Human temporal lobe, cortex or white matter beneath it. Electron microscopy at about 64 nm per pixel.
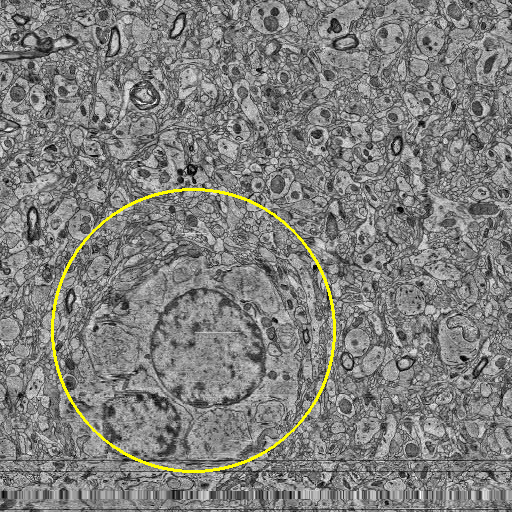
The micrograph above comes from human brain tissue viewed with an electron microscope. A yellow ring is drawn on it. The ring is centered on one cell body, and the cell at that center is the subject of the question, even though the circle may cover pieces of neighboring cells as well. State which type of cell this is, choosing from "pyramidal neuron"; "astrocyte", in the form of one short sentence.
The cell the ring is centered on is an astrocyte.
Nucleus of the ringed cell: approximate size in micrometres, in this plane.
Roughly 8 micrometers across in this plane.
